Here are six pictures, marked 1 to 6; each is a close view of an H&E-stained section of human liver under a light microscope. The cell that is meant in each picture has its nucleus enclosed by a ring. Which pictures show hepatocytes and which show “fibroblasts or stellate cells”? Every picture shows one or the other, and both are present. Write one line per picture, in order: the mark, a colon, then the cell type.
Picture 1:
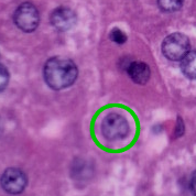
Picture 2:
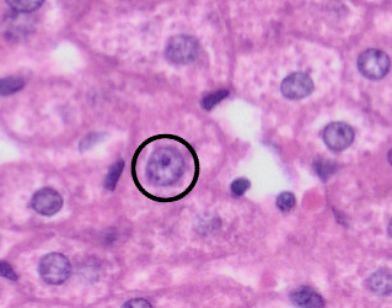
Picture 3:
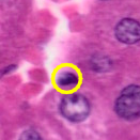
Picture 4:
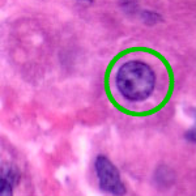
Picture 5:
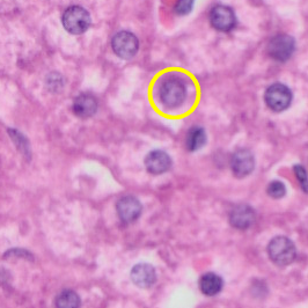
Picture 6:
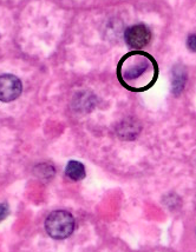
1: hepatocyte
2: hepatocyte
3: fibroblast or stellate cell
4: hepatocyte
5: hepatocyte
6: fibroblast or stellate cell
